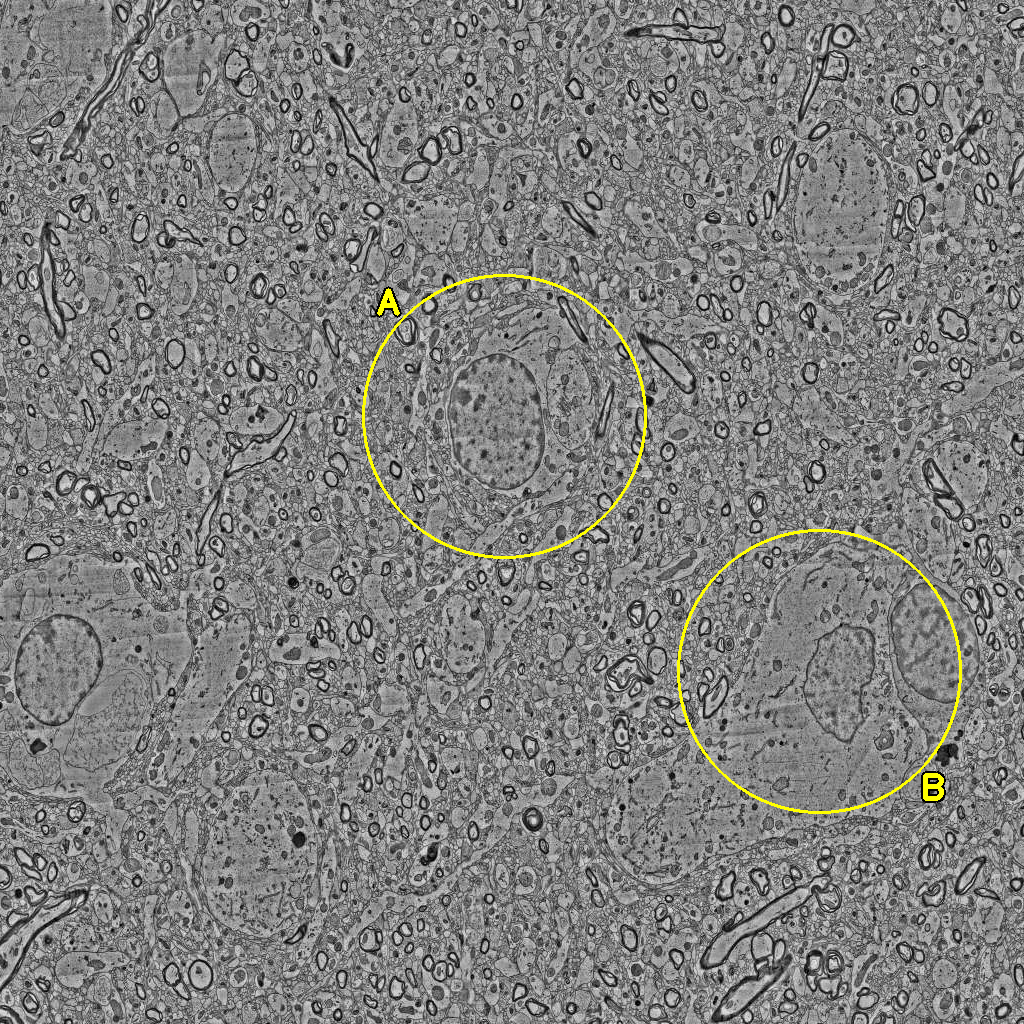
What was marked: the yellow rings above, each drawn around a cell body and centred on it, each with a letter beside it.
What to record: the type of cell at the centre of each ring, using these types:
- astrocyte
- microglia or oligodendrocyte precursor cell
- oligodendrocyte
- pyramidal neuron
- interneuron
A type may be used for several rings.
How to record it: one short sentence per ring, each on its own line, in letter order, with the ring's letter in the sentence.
Centred in ring A is a microglial cell or oligodendrocyte precursor cell.
Centred in ring B is a pyramidal neuron.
